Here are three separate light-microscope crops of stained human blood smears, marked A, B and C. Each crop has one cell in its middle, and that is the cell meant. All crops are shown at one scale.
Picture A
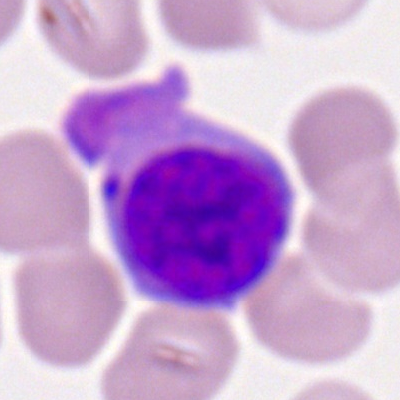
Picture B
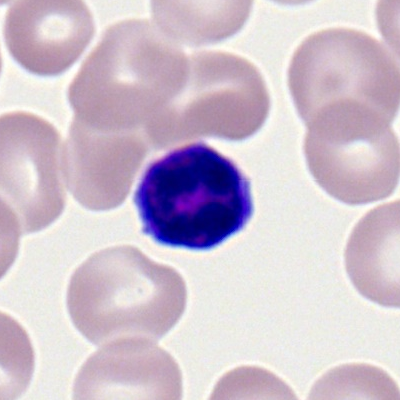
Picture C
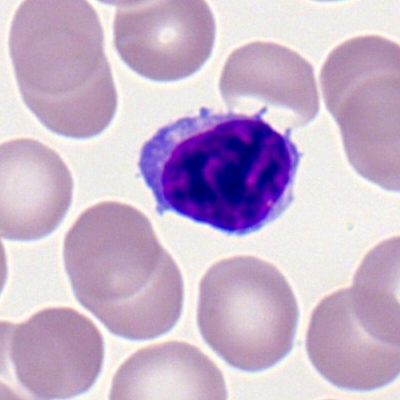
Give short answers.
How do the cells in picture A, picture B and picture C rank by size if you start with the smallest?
B, C, A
